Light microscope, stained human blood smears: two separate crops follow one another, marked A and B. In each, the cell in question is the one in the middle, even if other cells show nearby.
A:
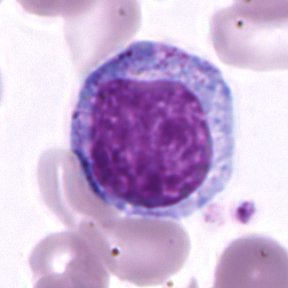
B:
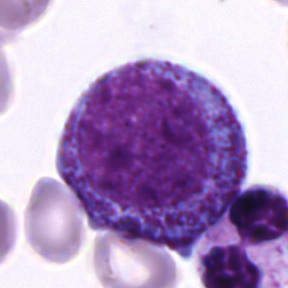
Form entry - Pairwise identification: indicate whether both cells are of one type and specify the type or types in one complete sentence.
Yes, in the two crops, promyelocytes are the cells at the centre.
